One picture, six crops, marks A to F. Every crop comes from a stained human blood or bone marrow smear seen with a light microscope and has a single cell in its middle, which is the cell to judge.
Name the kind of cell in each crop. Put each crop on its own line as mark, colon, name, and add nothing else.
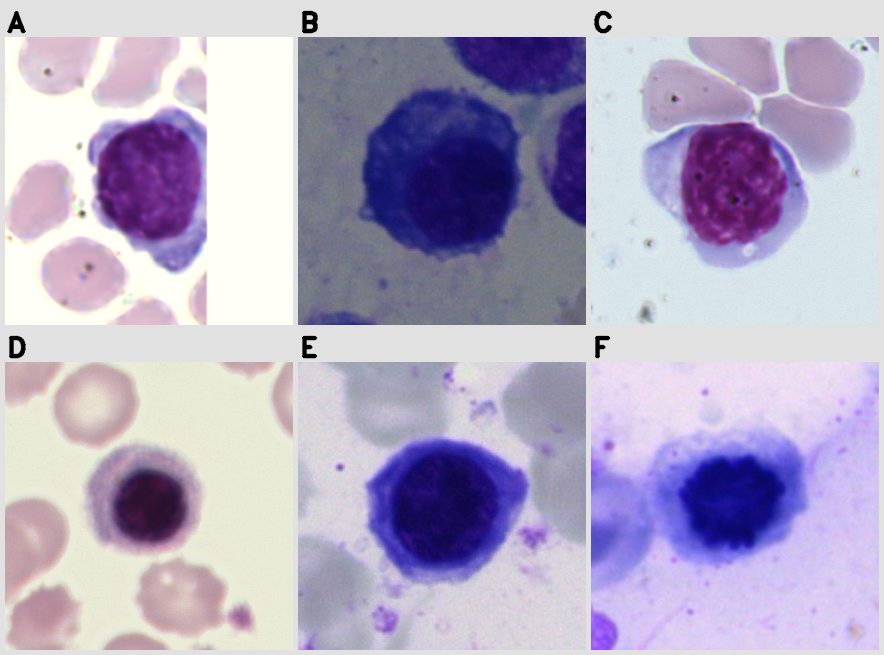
A: plasma cell
B: plasma cell
C: plasma cell
D: erythroblast
E: erythroblast
F: erythroblast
